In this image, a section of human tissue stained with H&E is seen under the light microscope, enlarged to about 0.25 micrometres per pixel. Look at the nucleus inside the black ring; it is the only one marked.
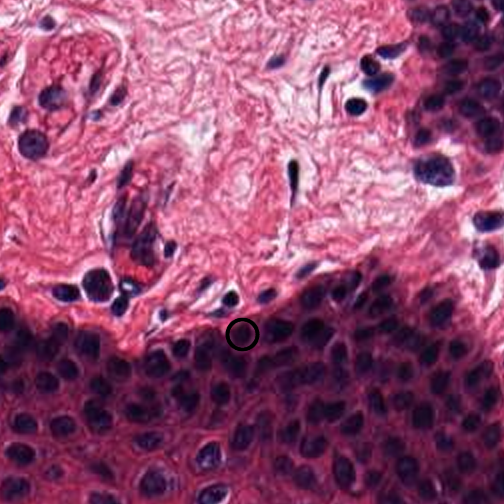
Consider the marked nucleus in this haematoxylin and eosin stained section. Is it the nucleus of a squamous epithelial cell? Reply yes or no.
yes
